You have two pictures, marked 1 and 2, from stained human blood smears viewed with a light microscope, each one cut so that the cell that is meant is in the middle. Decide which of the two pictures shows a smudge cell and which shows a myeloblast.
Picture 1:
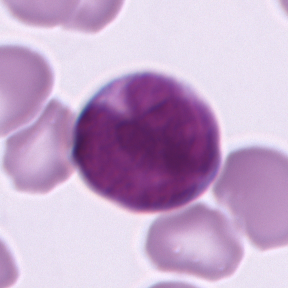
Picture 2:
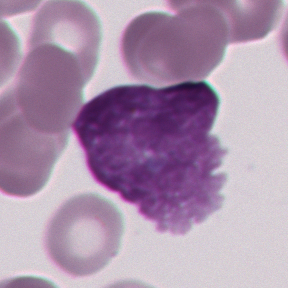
1: myeloblast
2: smudge cell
